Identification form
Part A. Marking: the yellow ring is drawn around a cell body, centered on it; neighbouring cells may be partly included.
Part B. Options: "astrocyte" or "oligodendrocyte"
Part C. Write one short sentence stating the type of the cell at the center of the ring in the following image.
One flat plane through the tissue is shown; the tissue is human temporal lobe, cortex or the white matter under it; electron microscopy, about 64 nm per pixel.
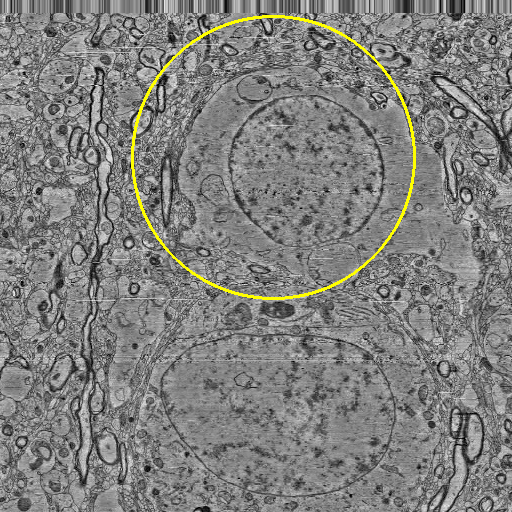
The center of the ring holds an astrocyte.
